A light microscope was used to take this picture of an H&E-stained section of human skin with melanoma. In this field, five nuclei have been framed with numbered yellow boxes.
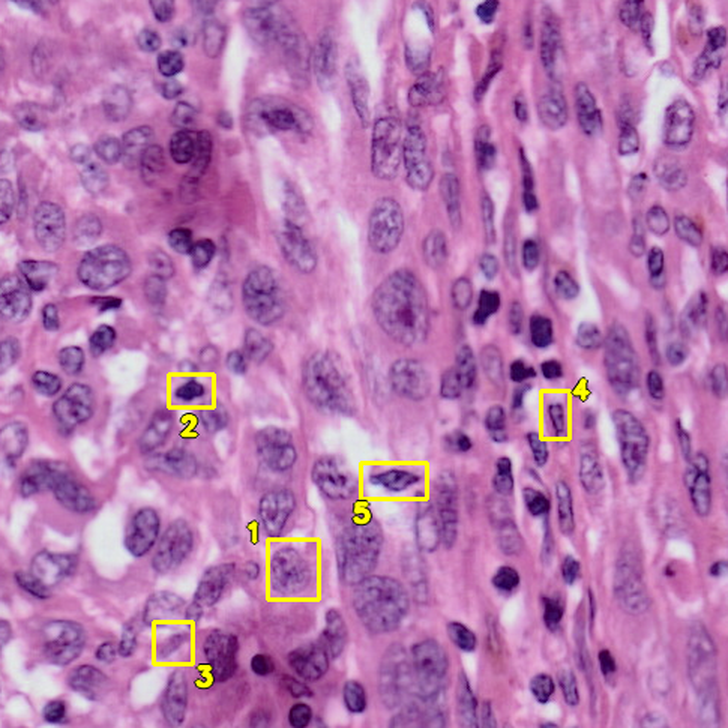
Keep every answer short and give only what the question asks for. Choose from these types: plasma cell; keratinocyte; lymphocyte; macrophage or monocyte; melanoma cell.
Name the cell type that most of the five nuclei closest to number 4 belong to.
lymphocyte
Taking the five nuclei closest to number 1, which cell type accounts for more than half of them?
melanoma cell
